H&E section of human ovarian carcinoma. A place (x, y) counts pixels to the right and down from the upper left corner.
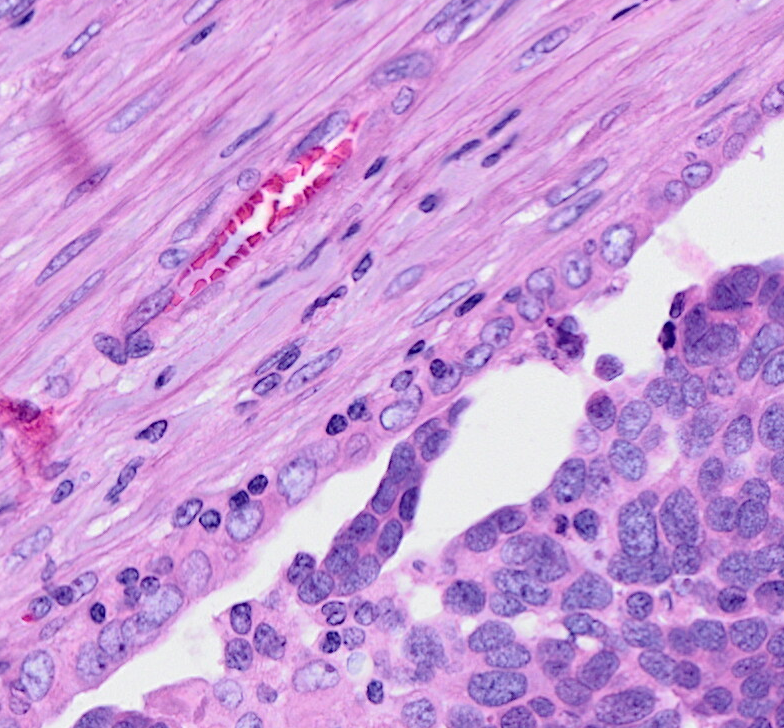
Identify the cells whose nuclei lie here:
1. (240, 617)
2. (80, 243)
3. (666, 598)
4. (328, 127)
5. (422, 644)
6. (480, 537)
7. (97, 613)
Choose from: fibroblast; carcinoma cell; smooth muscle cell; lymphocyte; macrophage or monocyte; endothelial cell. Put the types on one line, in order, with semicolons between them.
macrophage or monocyte; fibroblast; macrophage or monocyte; endothelial cell; carcinoma cell; carcinoma cell; lymphocyte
